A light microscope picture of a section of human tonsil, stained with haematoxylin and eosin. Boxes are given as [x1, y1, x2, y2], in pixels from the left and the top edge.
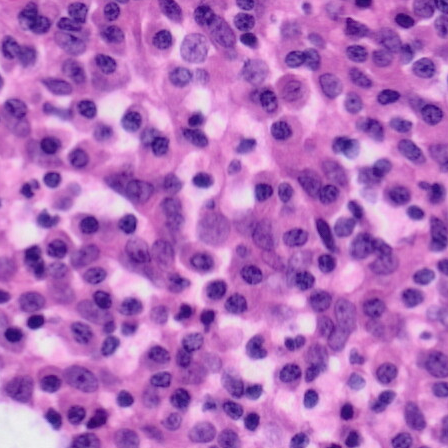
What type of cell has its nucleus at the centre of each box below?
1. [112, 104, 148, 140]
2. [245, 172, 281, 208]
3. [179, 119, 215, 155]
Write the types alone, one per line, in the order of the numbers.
plasma cell
plasma cell
squamous epithelial cell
